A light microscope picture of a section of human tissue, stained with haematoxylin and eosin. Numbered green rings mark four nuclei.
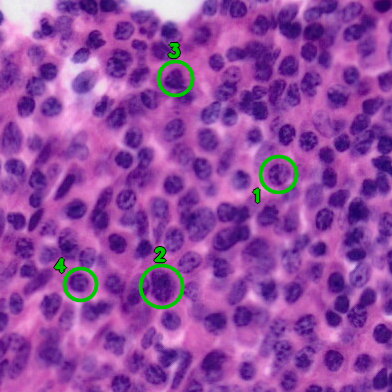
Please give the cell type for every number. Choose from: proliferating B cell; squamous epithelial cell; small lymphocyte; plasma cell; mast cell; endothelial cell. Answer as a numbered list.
1. plasma cell
2. squamous epithelial cell
3. plasma cell
4. plasma cell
